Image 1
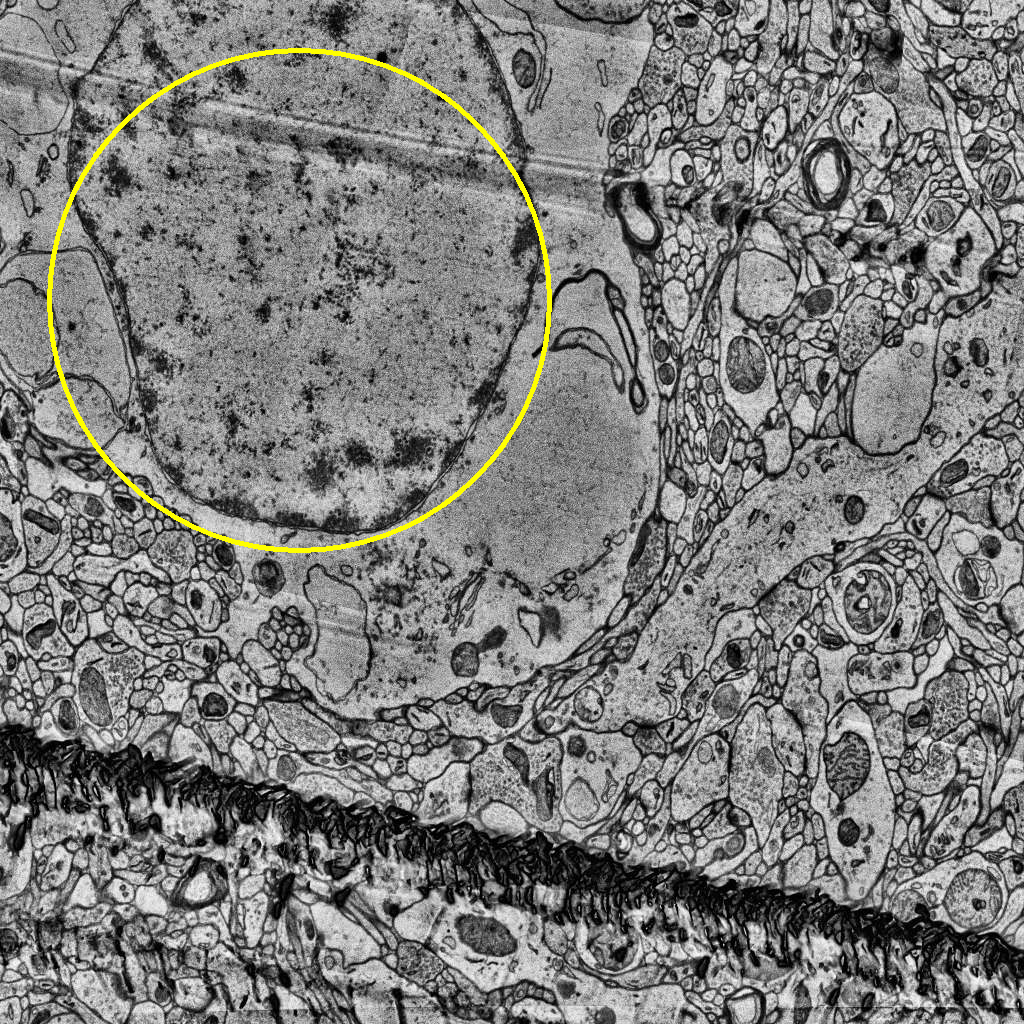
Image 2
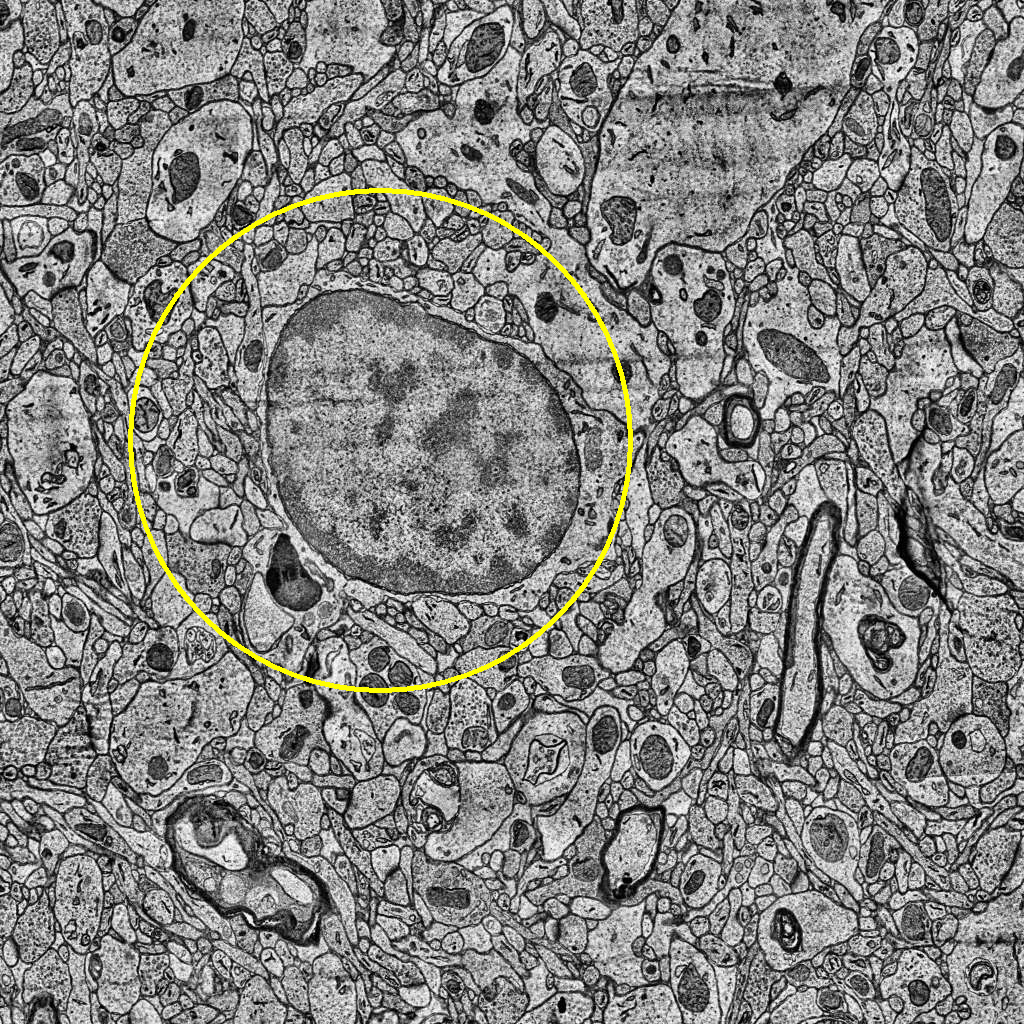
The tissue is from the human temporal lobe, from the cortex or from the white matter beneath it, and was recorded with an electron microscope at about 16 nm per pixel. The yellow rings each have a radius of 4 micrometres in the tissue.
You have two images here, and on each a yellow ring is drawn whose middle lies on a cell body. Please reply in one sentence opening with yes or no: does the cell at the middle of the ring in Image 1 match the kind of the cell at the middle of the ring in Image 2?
No, the two images show cells of two kinds at the centres of their rings.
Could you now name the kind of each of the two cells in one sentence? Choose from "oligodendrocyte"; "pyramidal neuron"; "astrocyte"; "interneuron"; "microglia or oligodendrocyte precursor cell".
The first picture shows an astrocyte at the ring centre and the second shows a microglial cell or oligodendrocyte precursor cell.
